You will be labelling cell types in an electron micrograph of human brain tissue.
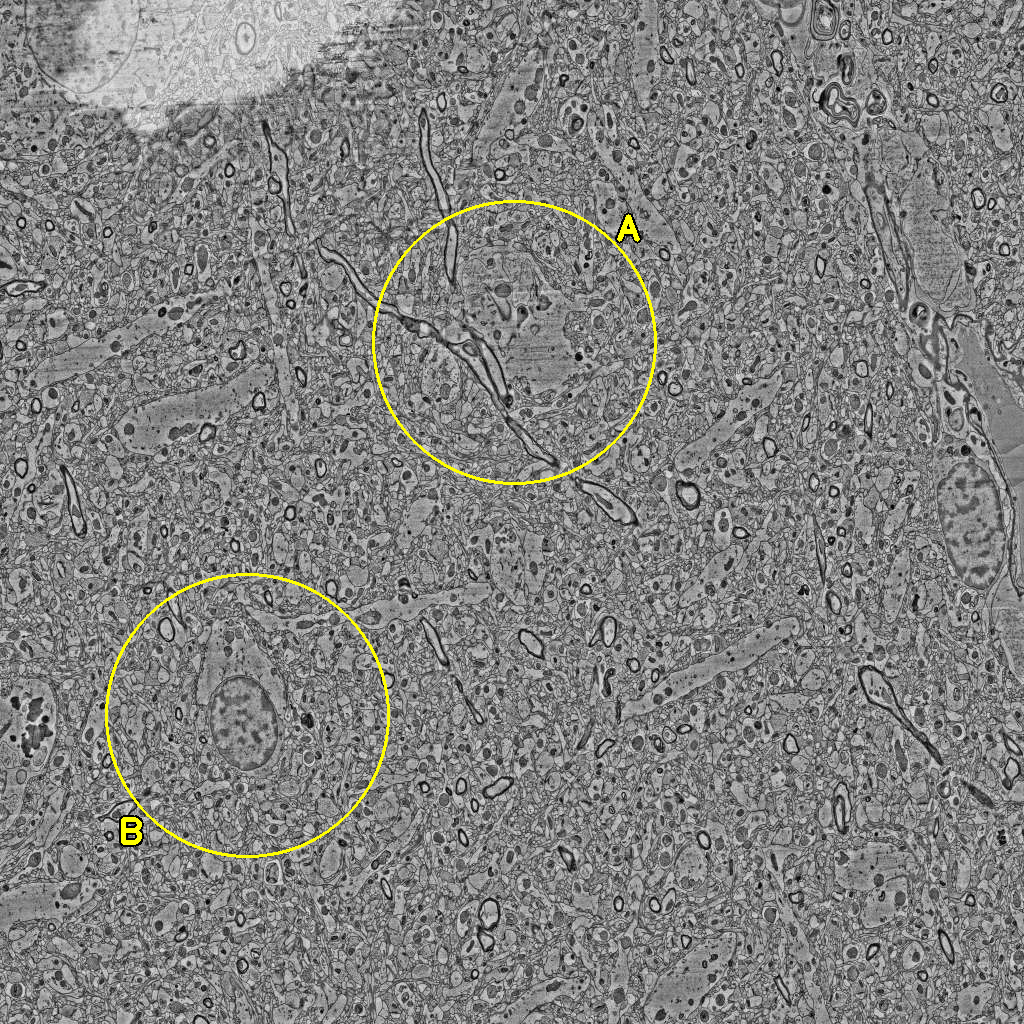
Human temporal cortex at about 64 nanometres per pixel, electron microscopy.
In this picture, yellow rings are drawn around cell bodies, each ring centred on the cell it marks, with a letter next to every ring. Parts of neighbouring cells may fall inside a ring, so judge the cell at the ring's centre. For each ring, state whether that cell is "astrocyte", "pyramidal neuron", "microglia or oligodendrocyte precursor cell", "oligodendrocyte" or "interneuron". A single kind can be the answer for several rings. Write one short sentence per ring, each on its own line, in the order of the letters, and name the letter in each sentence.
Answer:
Ring A contains an astrocyte at its centre.
Ring B contains an oligodendrocyte at its centre.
